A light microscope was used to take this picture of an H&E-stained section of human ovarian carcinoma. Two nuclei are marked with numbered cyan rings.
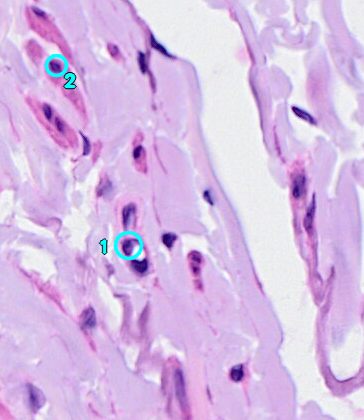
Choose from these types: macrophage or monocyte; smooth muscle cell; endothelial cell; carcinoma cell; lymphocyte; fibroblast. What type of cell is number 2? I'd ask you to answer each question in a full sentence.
Nucleus 2 in this section belongs to a smooth muscle cell.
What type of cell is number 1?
The cell that is numbered 1 is an endothelial cell.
